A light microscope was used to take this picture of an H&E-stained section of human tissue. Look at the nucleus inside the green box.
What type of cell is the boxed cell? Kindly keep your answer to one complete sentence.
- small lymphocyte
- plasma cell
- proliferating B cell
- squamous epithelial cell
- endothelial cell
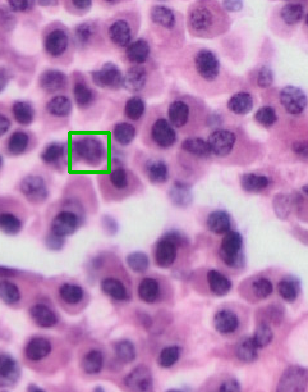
As far as its identity is concerned, the boxed cell is a plasma cell.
